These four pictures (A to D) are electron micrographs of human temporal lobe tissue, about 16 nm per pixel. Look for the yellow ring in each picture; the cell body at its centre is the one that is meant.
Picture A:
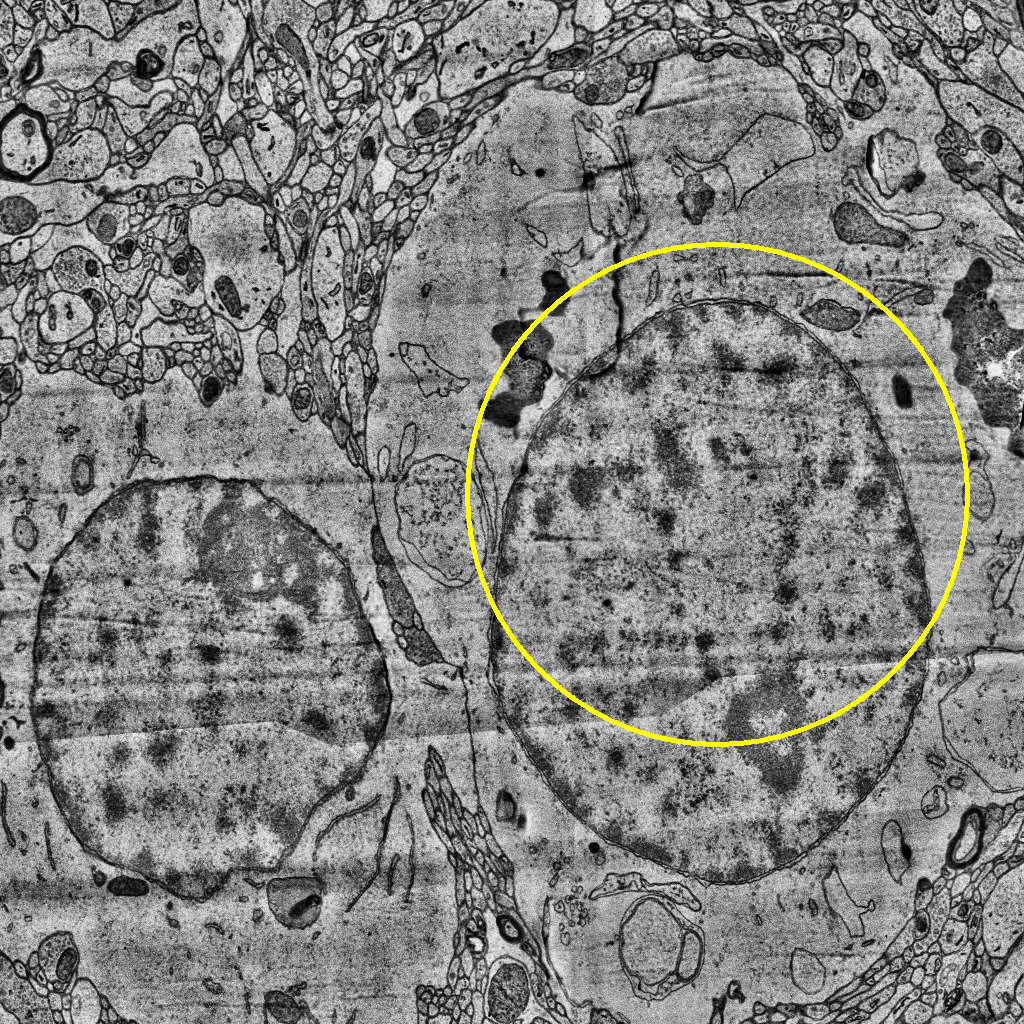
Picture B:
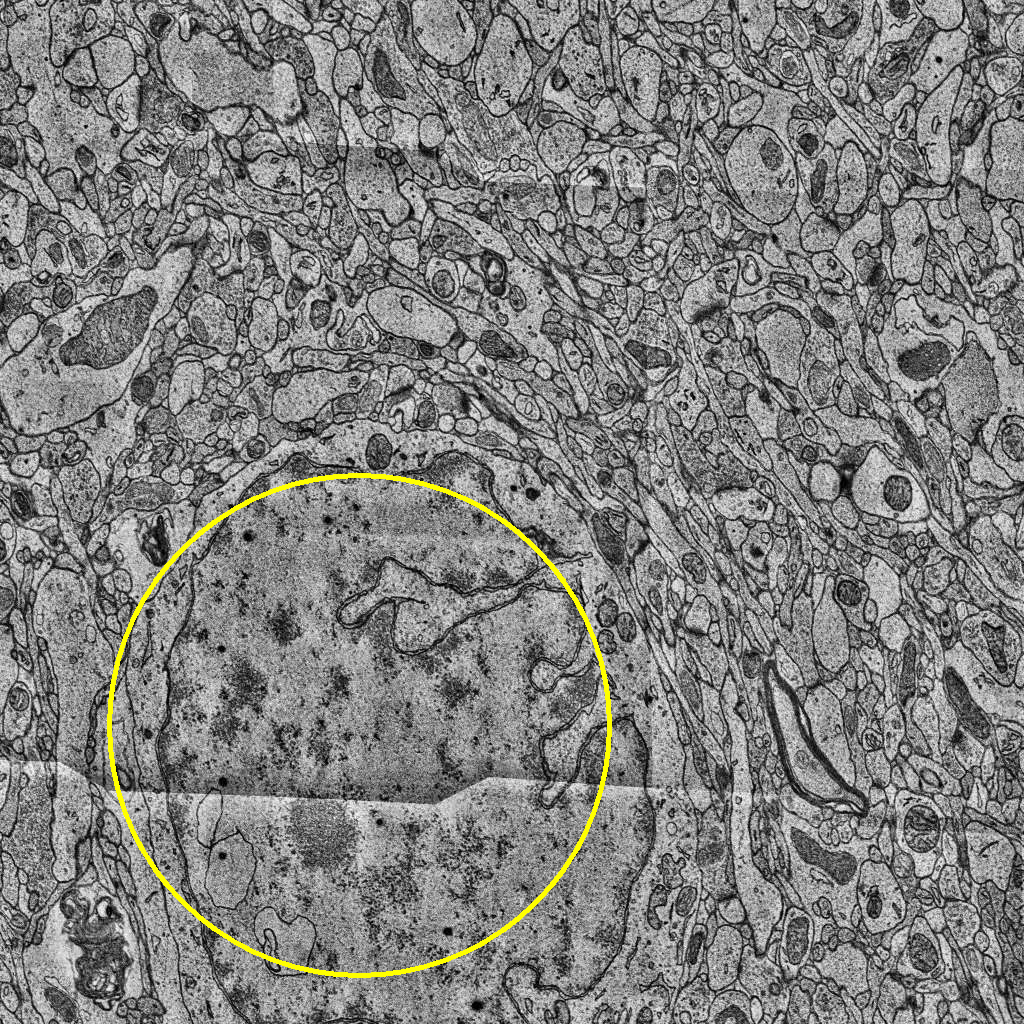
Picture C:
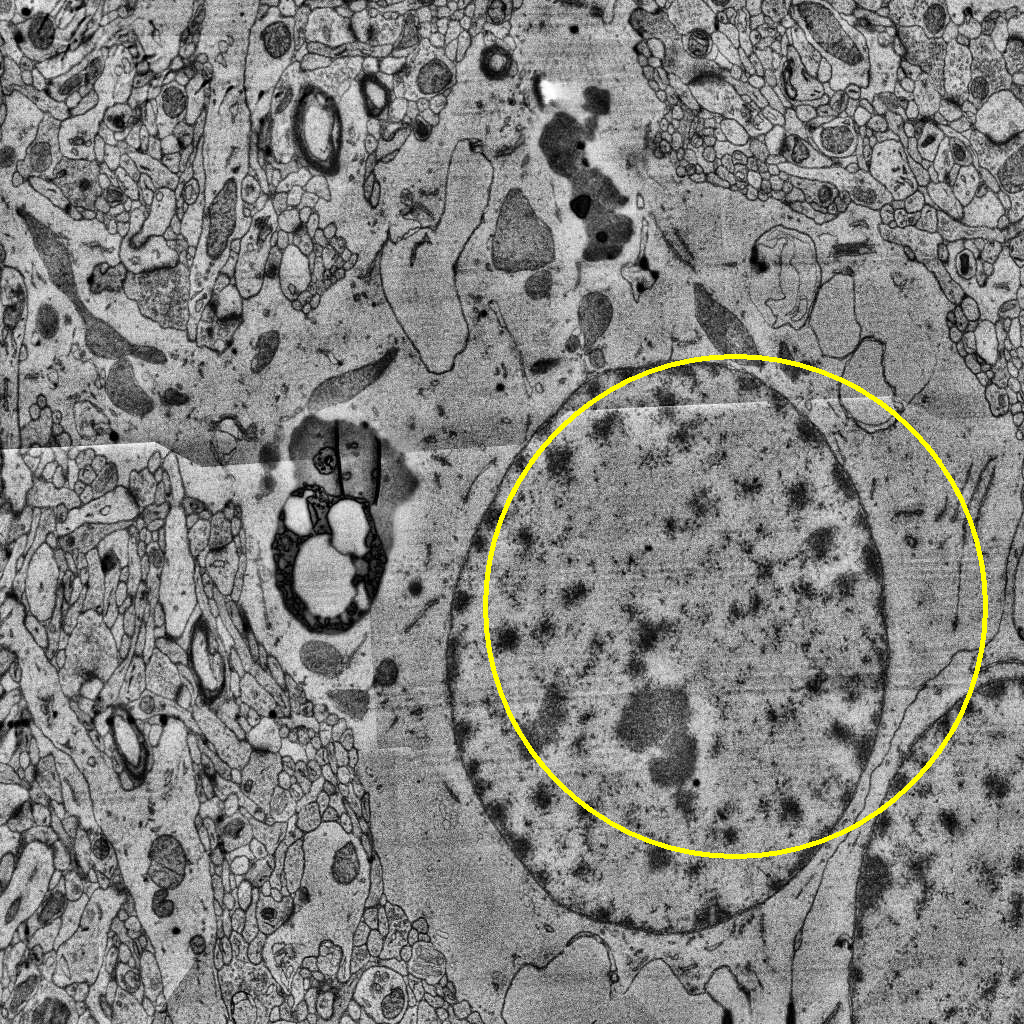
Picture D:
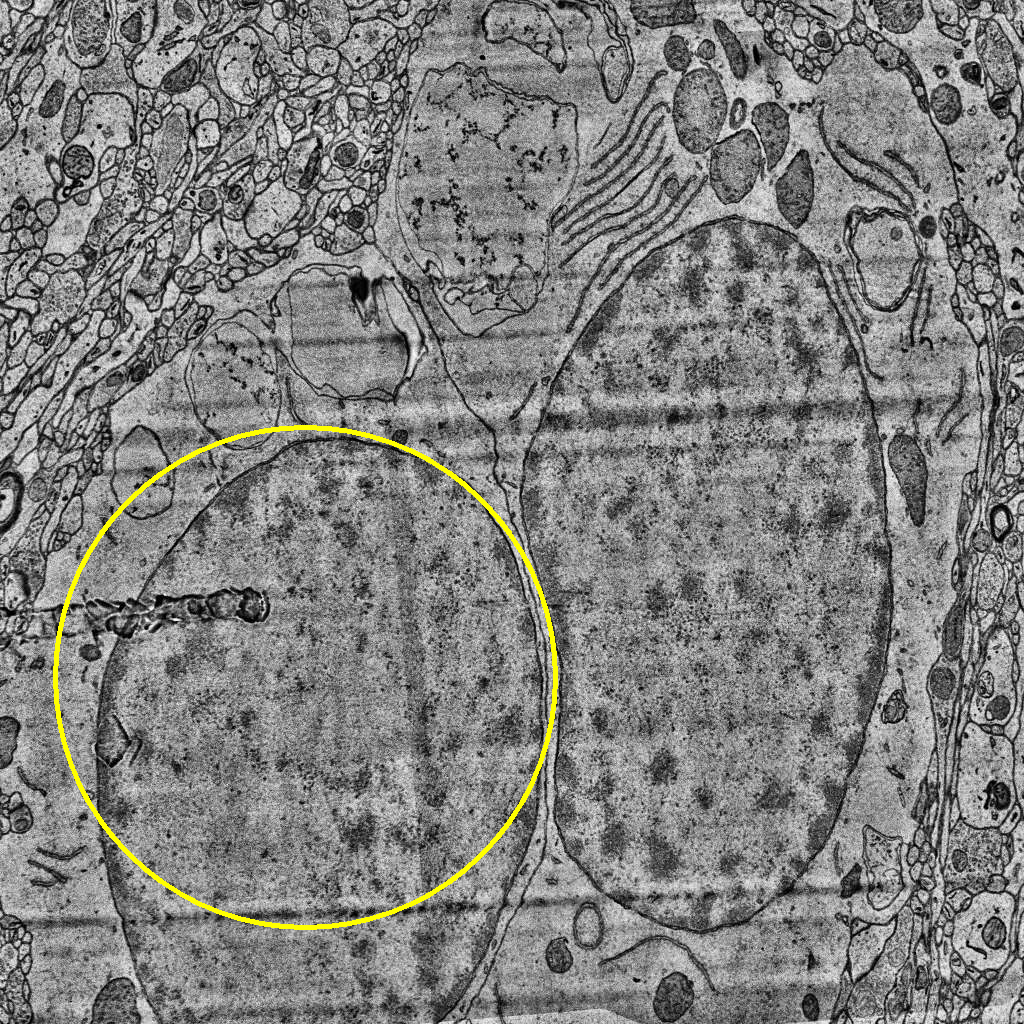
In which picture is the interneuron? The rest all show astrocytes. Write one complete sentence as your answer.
The picture with the interneuron is B.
